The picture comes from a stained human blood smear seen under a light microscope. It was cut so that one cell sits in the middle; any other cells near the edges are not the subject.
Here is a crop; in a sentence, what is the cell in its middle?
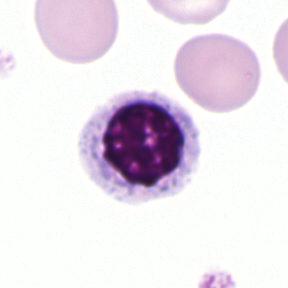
The cell shown in the center of this light-microscope crop is an erythroblast.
